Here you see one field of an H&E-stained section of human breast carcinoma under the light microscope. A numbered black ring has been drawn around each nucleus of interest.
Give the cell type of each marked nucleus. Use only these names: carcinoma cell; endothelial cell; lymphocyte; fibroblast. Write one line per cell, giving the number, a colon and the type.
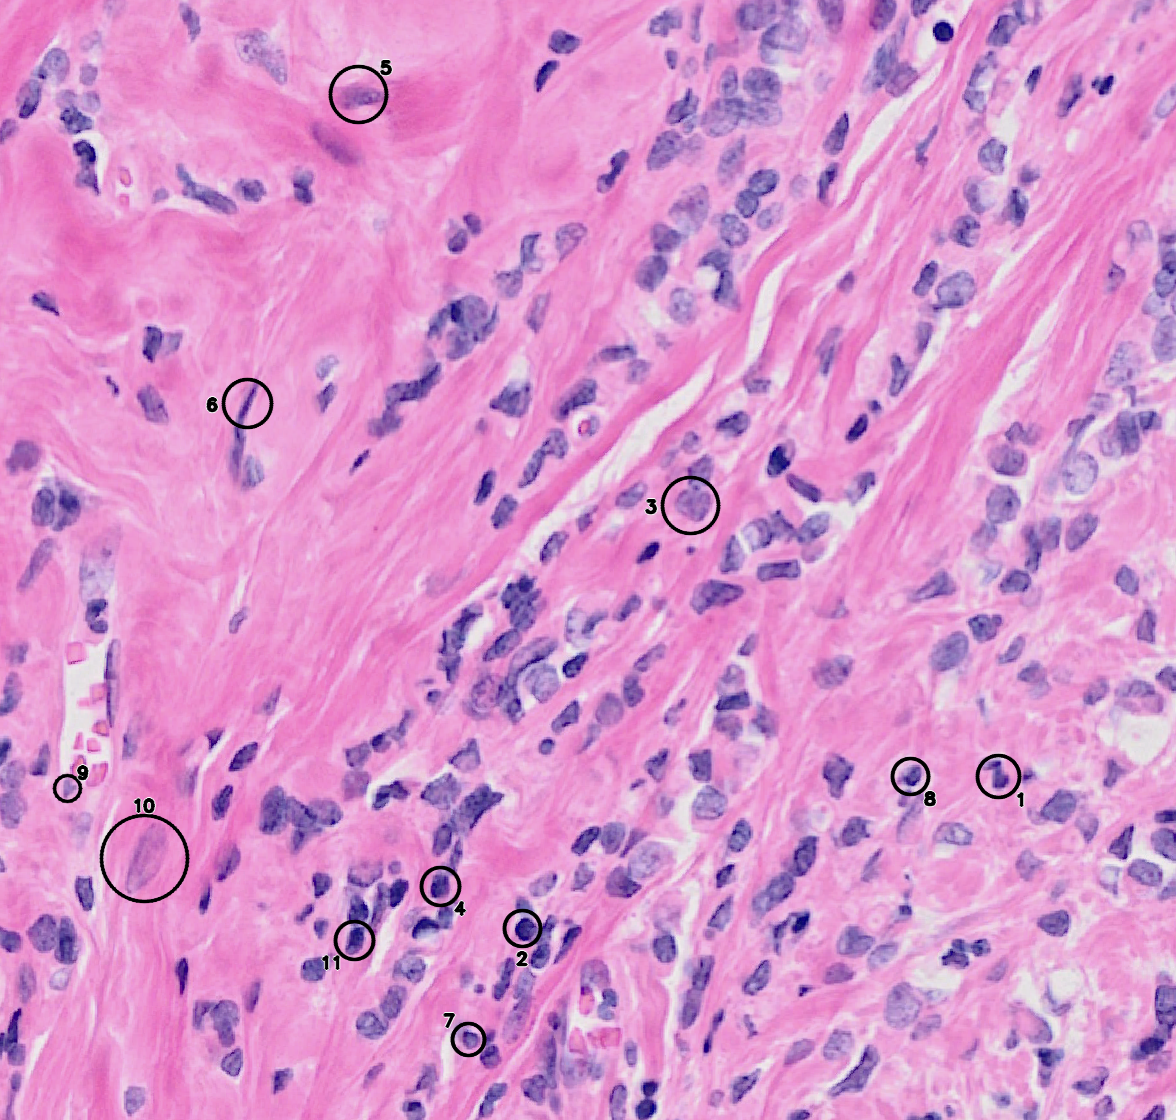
1: lymphocyte
2: lymphocyte
3: carcinoma cell
4: lymphocyte
5: fibroblast
6: fibroblast
7: lymphocyte
8: lymphocyte
9: endothelial cell
10: fibroblast
11: lymphocyte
